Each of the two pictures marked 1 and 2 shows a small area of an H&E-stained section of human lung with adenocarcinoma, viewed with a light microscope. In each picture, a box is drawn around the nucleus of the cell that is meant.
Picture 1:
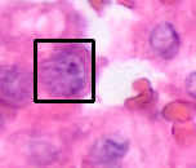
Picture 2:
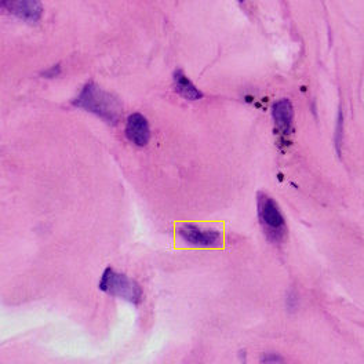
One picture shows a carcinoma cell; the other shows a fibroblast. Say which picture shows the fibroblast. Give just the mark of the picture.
2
